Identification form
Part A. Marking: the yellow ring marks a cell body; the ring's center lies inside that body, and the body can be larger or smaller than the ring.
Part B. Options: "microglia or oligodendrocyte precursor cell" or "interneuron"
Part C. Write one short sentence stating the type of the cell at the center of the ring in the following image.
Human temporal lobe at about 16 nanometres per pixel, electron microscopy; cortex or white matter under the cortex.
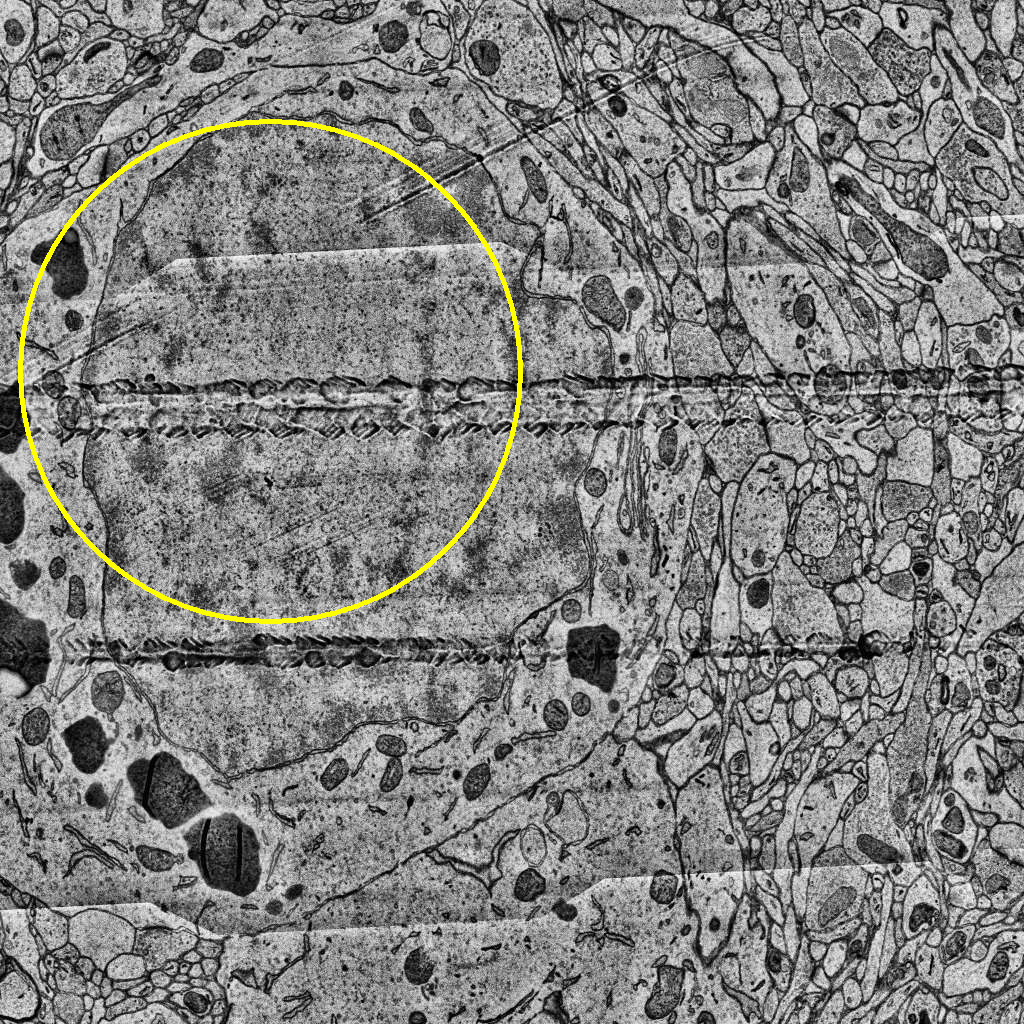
The center of the ring holds an interneuron.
